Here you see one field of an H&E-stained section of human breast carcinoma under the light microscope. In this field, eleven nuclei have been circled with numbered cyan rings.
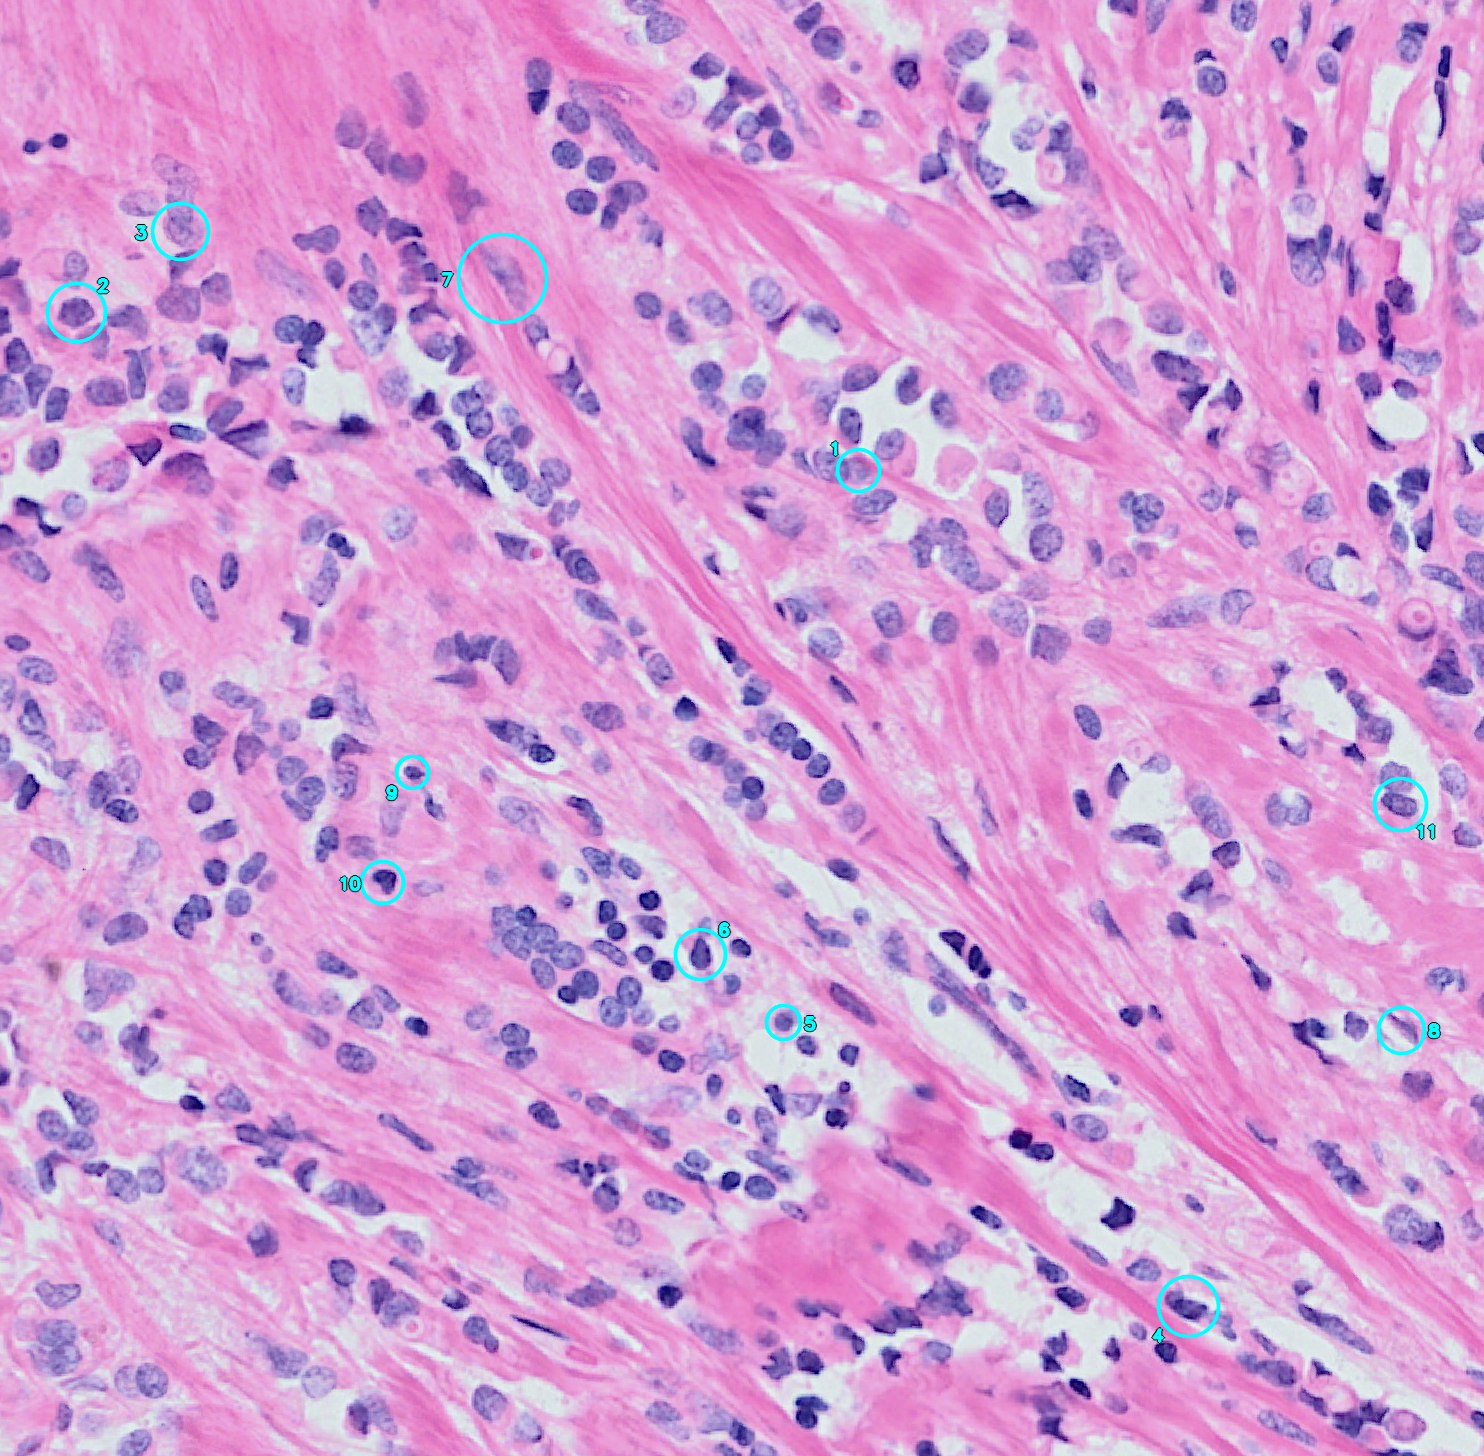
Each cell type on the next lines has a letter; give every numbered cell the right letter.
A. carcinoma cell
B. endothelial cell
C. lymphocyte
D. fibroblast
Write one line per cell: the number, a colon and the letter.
1: A
2: A
3: A
4: C
5: C
6: C
7: D
8: D
9: C
10: C
11: A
